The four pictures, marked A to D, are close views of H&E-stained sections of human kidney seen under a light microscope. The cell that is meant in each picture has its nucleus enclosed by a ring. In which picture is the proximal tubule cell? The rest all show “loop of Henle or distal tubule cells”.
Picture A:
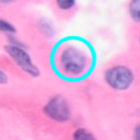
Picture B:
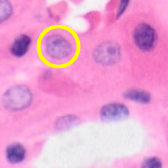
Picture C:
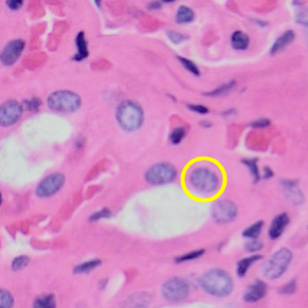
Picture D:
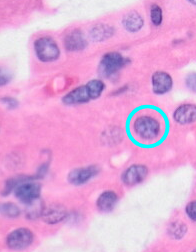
B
